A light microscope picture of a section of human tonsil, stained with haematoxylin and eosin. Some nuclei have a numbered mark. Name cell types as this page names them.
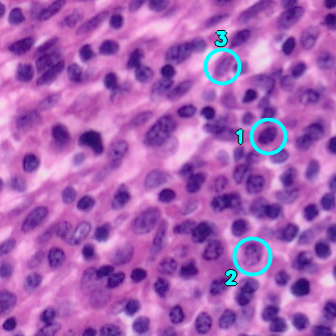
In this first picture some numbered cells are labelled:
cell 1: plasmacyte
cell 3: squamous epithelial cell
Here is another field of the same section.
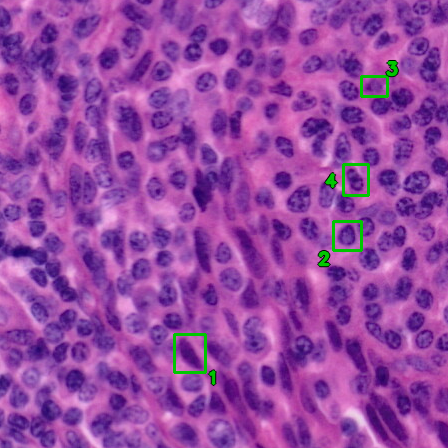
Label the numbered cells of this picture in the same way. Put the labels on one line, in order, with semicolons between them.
squamous epithelial cell; plasmacyte; plasmacyte; plasmacyte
